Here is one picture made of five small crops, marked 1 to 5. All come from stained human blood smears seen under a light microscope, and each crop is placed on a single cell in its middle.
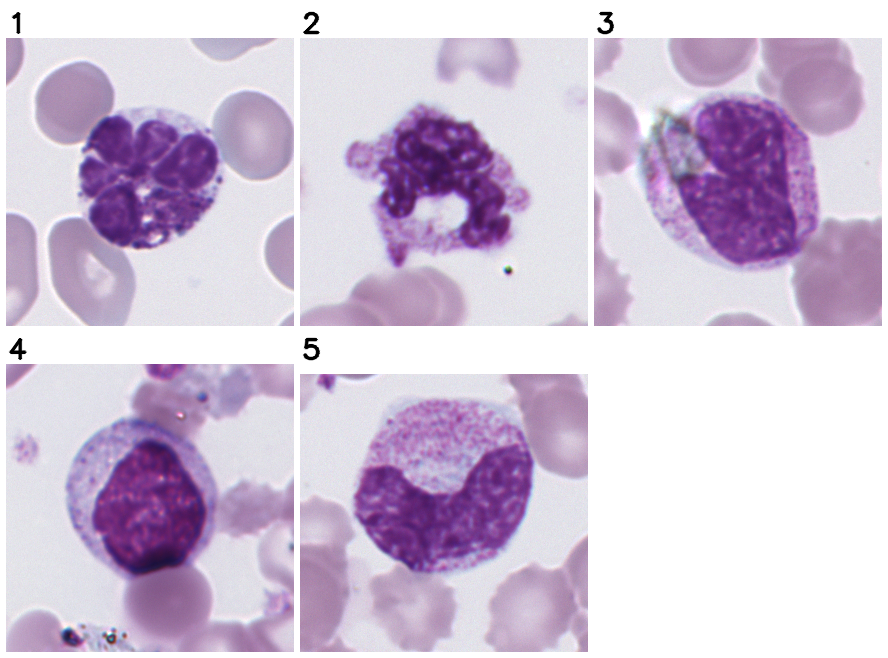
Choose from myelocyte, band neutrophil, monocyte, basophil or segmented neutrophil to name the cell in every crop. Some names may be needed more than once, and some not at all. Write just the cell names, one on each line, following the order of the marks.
basophil
segmented neutrophil
band neutrophil
myelocyte
band neutrophil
